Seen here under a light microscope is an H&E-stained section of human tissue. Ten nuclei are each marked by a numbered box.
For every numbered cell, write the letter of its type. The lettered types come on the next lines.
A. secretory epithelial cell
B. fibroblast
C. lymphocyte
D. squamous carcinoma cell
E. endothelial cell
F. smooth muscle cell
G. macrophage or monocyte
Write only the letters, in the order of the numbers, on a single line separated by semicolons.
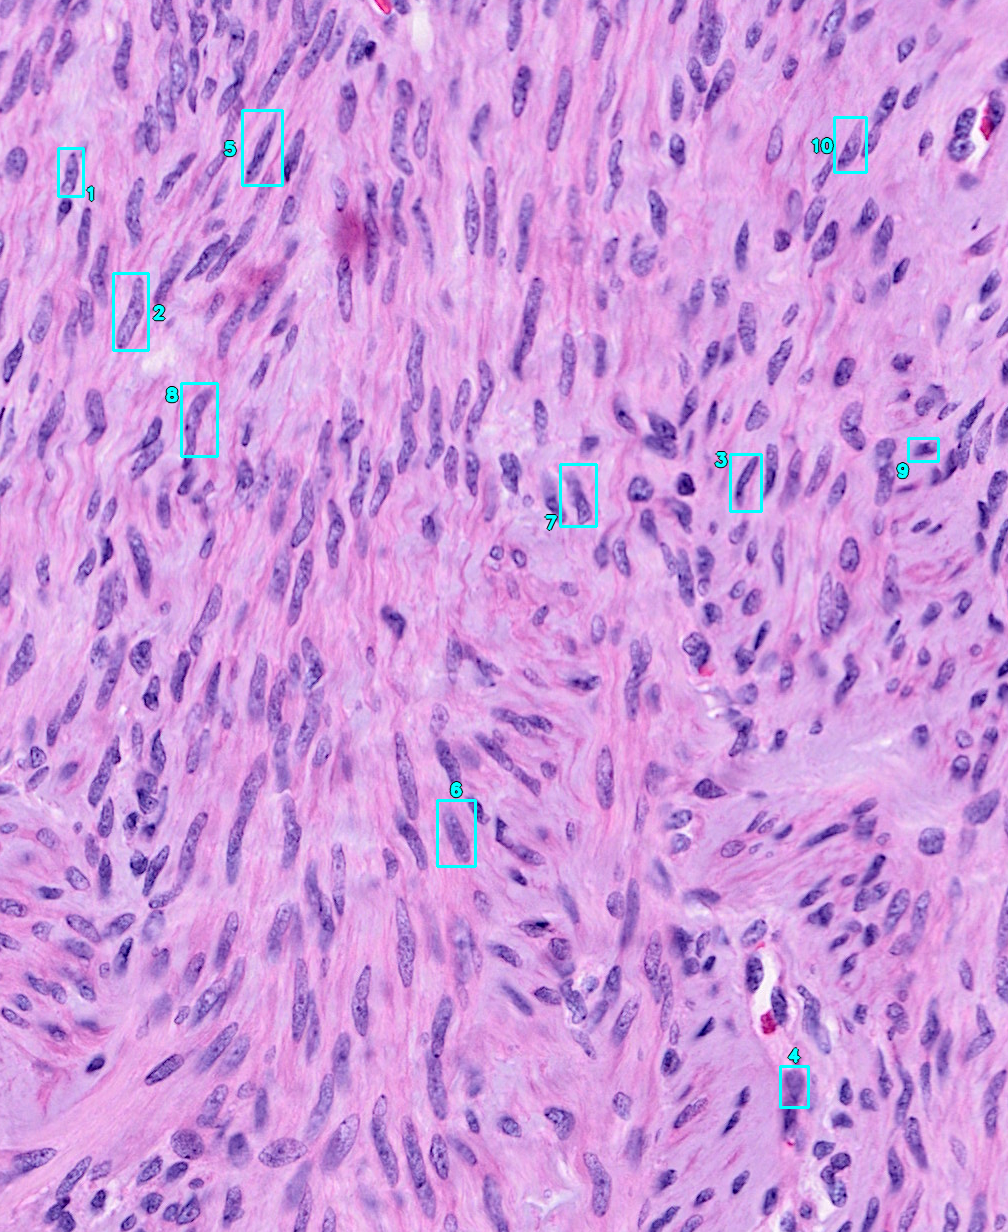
F; F; F; E; F; F; B; F; B; B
